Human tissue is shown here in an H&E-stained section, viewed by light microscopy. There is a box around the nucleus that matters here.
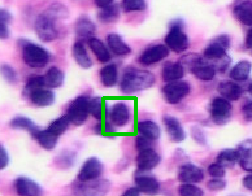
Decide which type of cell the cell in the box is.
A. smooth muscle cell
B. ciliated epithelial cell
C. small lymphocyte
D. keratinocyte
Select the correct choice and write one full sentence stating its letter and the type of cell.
In keeping with option C, the cell in the box is a small lymphocyte.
